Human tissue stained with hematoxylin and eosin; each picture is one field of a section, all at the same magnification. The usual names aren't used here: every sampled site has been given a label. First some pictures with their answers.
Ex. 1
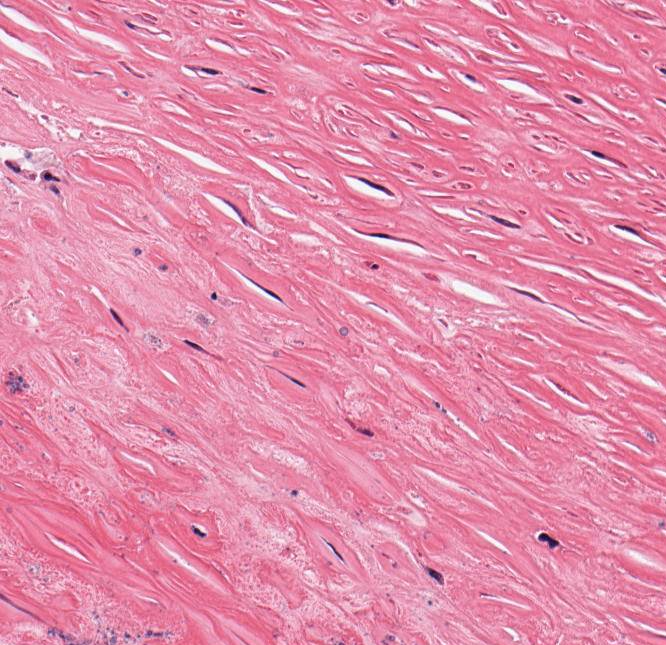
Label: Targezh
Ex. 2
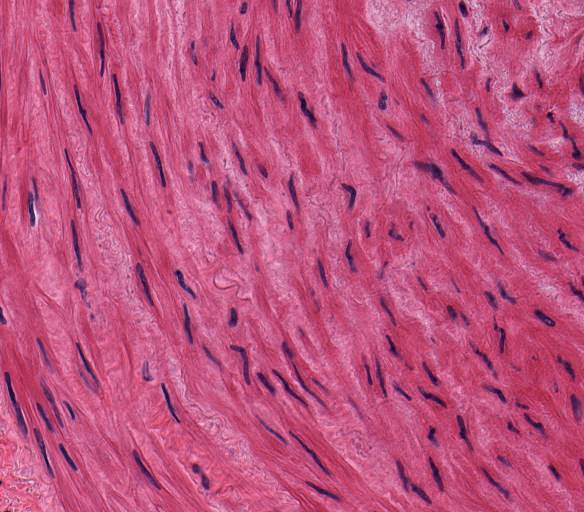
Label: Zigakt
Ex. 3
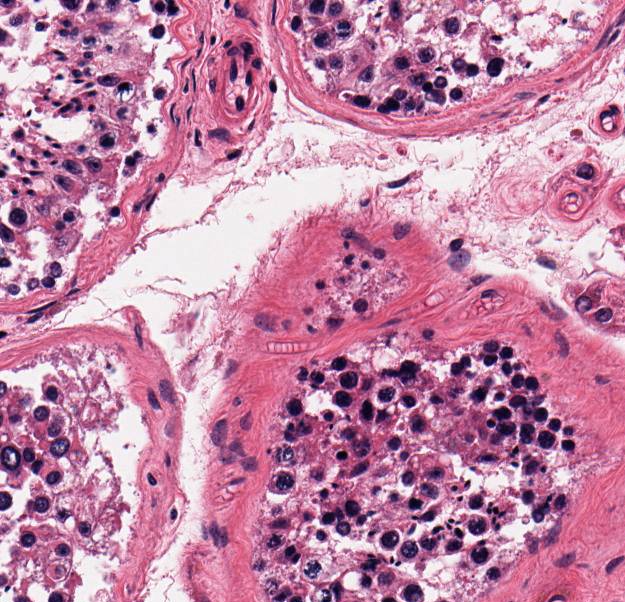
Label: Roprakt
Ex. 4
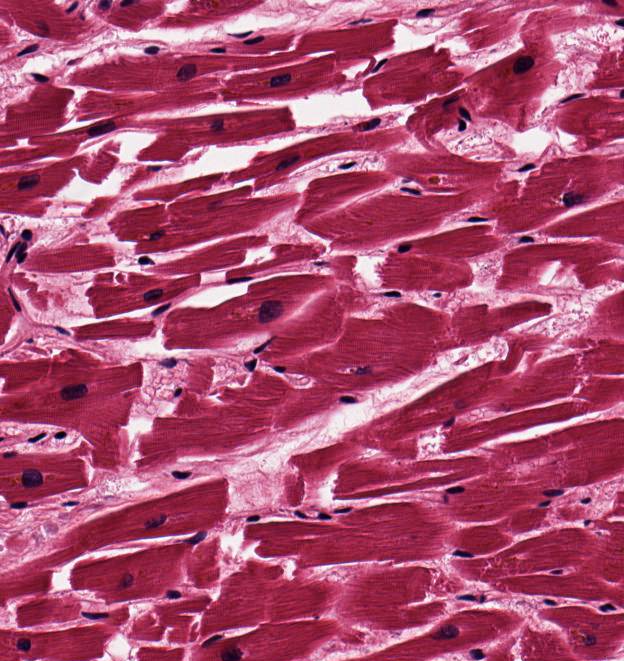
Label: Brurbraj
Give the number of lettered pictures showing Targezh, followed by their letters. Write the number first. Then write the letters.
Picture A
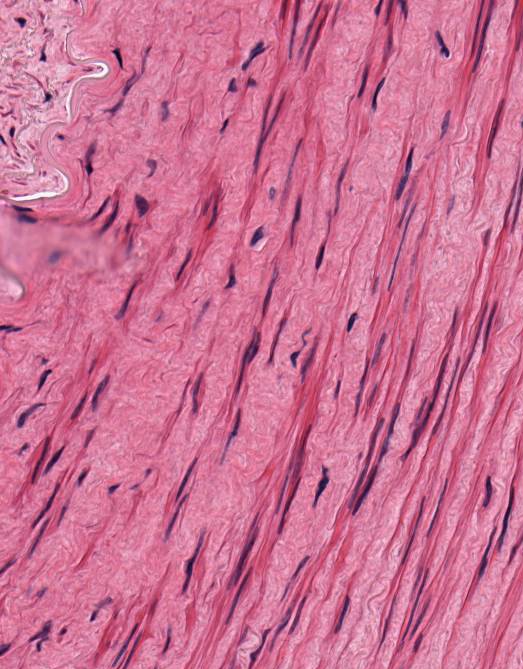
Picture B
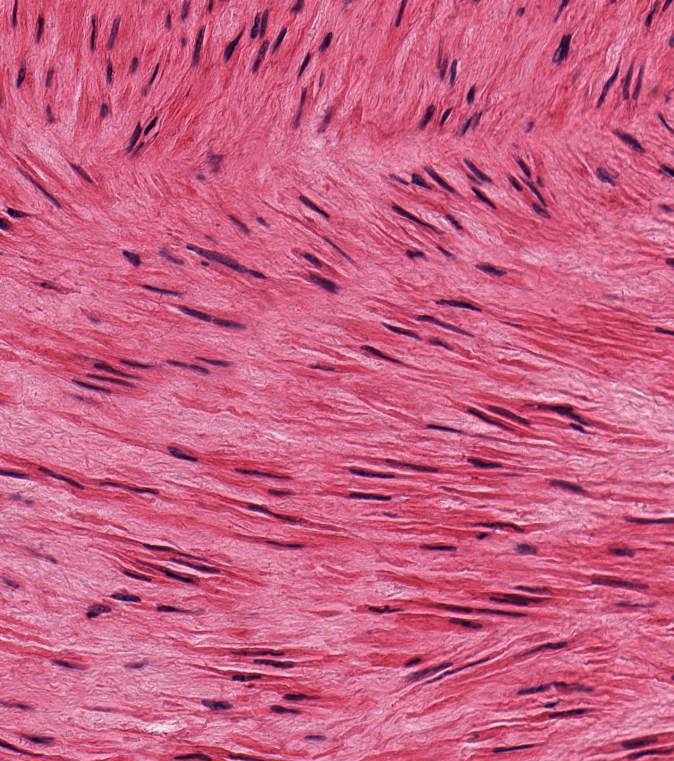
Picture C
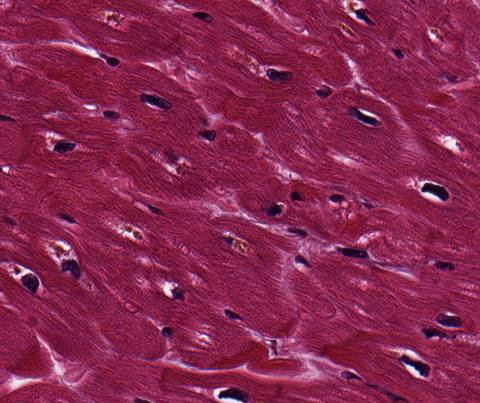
1: B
